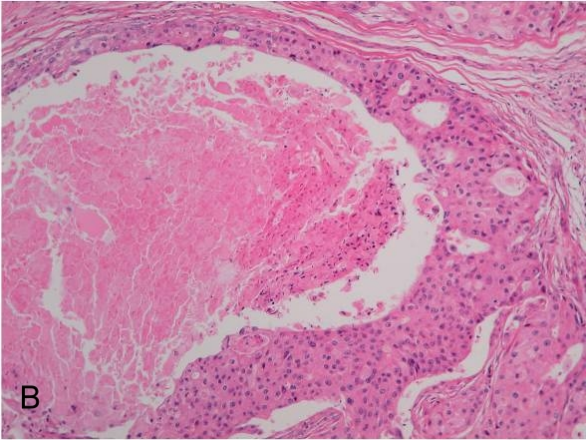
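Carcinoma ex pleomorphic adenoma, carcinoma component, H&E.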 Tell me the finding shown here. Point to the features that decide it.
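A large nest of epithelial cells has a central mass of pink, structureless debris. The debris is separated from the surrounding viable cell layer by a cleft. So: comedo-like necrosis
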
